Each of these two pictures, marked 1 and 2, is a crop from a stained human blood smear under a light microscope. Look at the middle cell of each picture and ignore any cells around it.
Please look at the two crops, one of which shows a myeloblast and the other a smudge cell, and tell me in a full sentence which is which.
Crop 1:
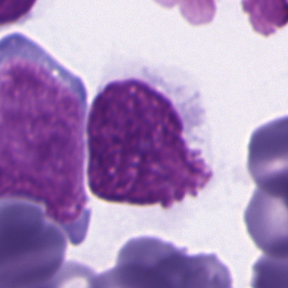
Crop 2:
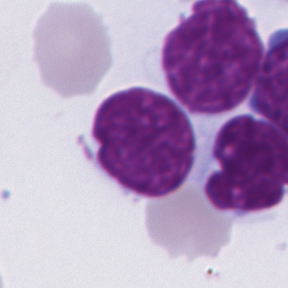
Crop 1 holds a smudge cell; crop 2 holds a myeloblast.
